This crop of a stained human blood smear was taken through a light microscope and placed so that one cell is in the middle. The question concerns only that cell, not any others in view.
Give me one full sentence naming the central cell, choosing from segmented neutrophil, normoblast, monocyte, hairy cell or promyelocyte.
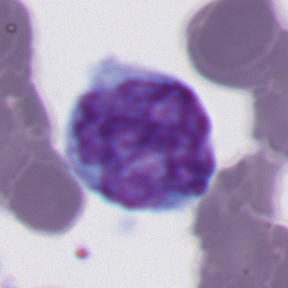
For this crop, the central cell is a monocyte.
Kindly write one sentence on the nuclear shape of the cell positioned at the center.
If you check the nucleus, you will find one compact mass, round, oval or kidney-shaped.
